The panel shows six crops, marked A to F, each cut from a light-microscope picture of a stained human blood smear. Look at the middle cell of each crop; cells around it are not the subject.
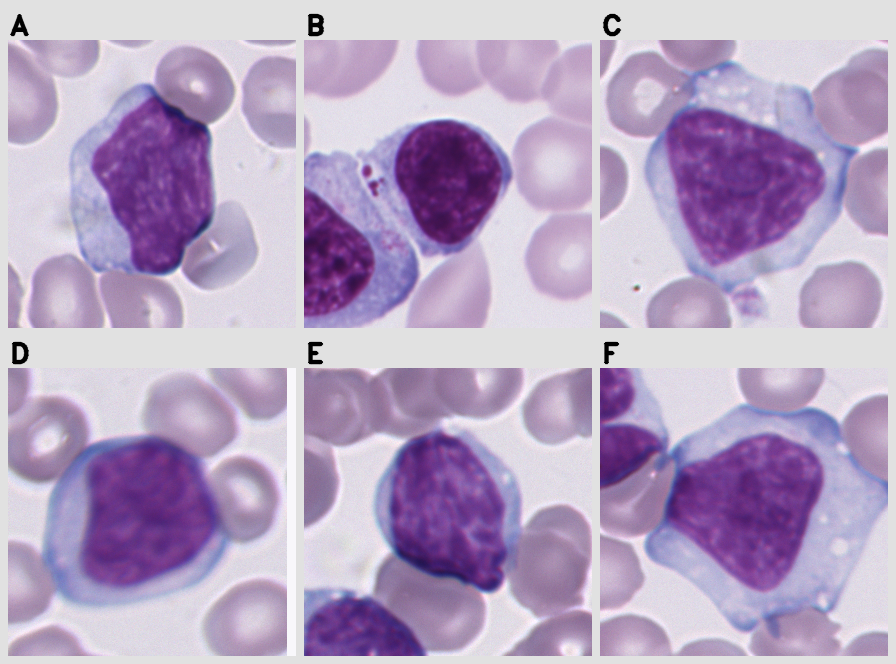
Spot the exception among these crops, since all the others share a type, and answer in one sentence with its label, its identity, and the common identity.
Only crop B differs, being a typical lymphocyte, while the others all show myeloblasts.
